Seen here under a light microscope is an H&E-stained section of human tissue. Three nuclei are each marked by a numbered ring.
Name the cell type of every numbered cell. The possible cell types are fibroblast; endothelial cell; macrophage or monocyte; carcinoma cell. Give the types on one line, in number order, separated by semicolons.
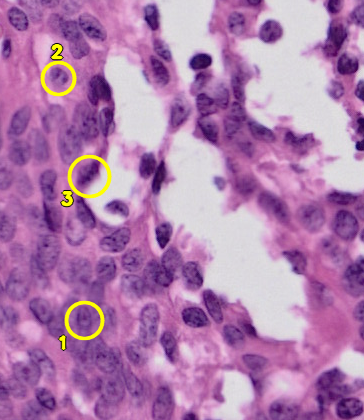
carcinoma cell; macrophage or monocyte; carcinoma cell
